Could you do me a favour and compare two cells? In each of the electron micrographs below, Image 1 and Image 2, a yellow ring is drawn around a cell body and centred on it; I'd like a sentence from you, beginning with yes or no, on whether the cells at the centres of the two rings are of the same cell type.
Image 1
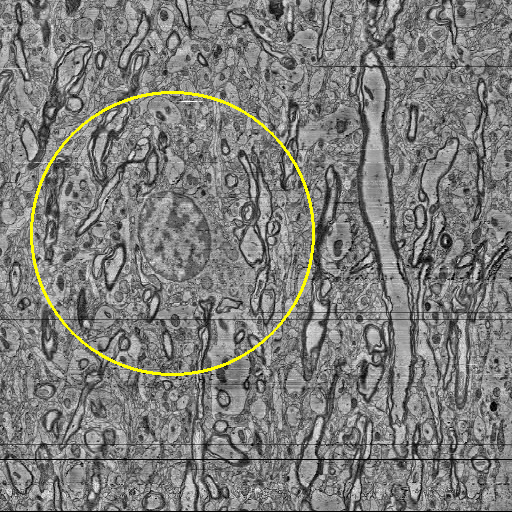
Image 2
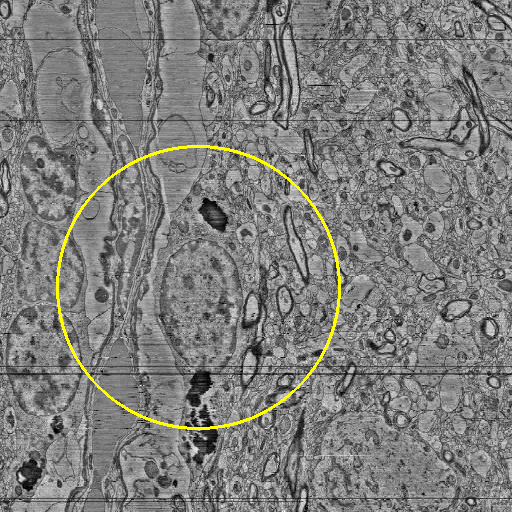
Yes, the two cells are of the same cell type.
